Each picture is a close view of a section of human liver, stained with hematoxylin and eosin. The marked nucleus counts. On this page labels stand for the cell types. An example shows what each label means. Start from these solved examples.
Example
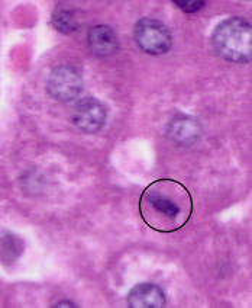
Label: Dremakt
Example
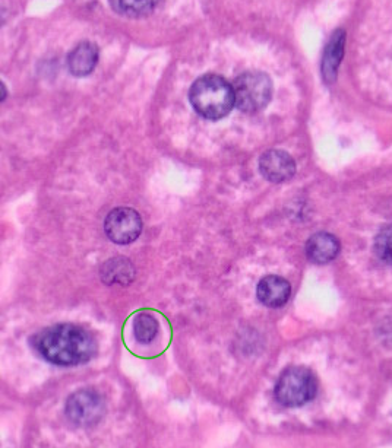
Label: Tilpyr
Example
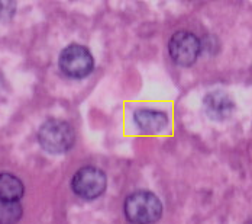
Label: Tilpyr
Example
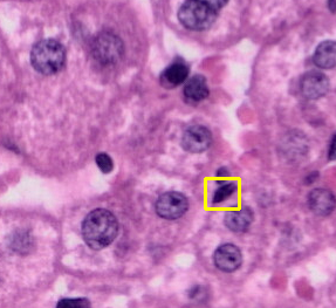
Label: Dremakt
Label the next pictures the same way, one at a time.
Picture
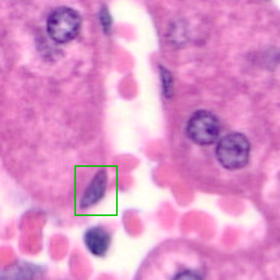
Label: Dremakt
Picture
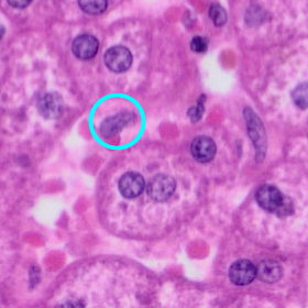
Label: Tilpyr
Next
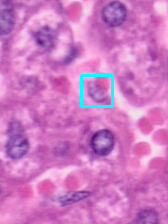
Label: Tilpyr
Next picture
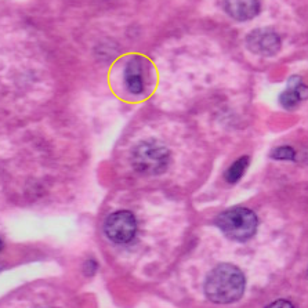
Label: Tilpyr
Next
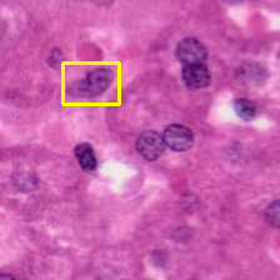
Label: Tilpyr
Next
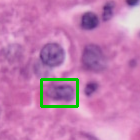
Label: Tilpyr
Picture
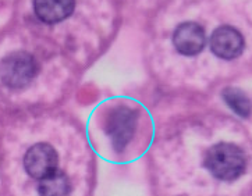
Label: Tilpyr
